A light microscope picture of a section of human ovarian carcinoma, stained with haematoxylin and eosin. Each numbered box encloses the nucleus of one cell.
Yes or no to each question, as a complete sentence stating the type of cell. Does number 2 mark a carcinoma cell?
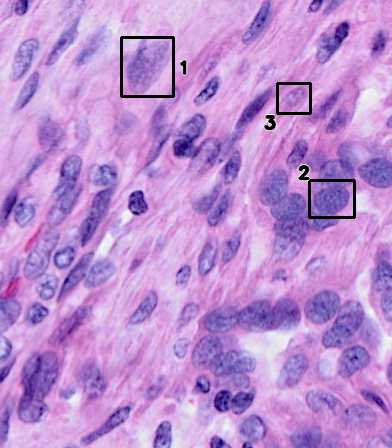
Yes, the cell shown as number 2 is a carcinoma cell.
